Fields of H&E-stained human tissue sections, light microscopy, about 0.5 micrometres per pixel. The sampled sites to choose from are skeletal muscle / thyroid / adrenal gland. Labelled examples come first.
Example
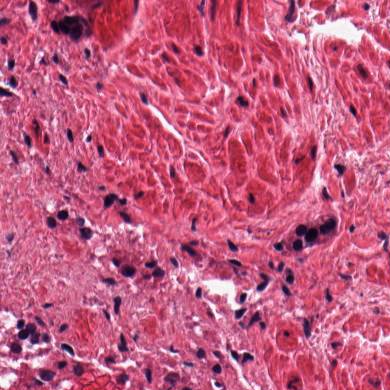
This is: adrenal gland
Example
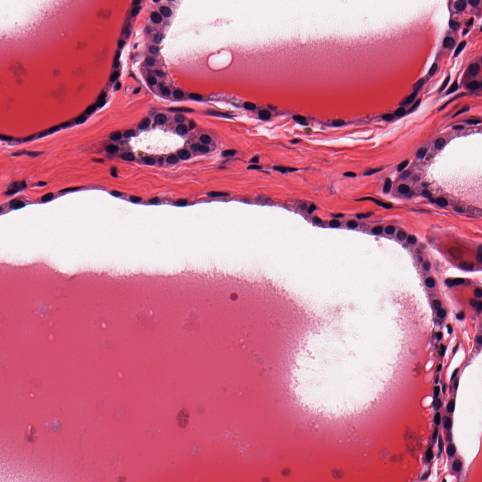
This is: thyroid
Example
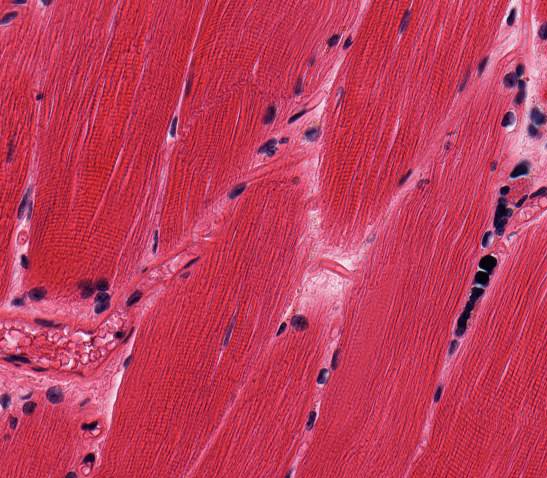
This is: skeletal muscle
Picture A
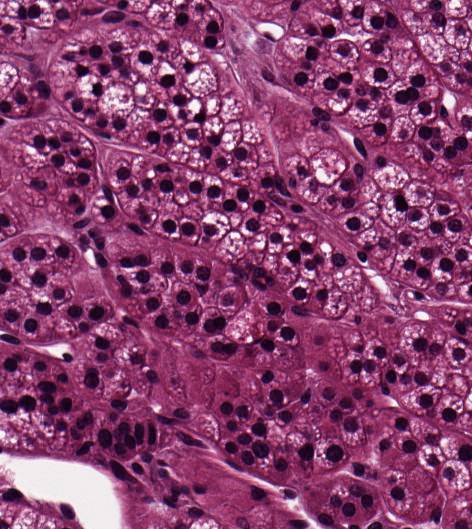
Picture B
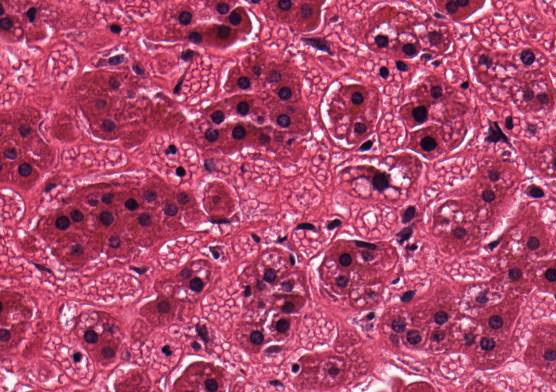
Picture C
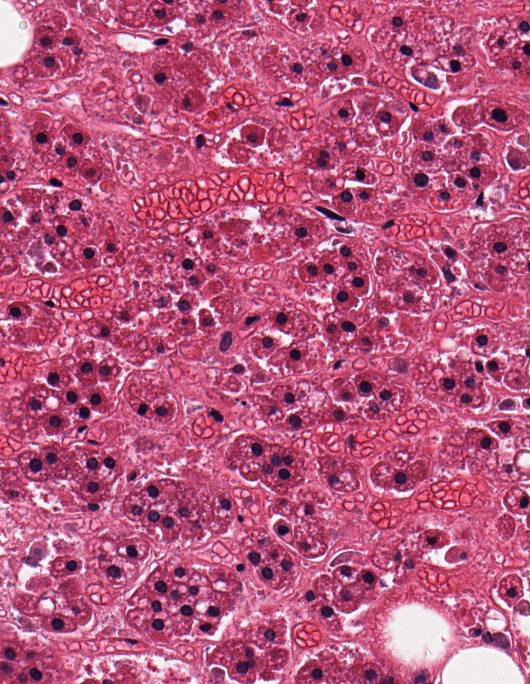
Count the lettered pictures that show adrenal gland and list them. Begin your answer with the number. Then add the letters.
Count: 3 (A, B, C)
